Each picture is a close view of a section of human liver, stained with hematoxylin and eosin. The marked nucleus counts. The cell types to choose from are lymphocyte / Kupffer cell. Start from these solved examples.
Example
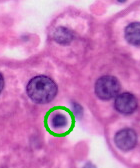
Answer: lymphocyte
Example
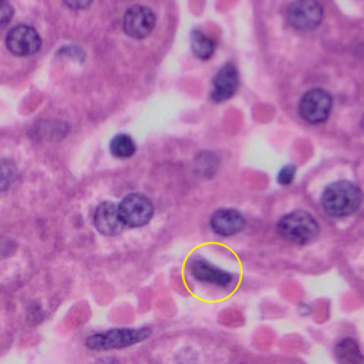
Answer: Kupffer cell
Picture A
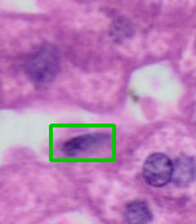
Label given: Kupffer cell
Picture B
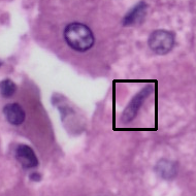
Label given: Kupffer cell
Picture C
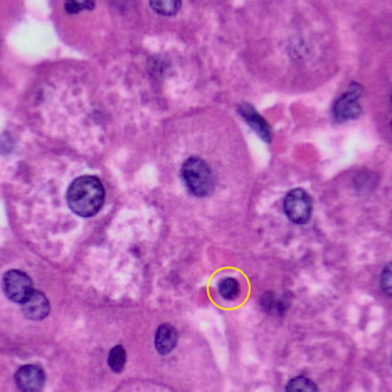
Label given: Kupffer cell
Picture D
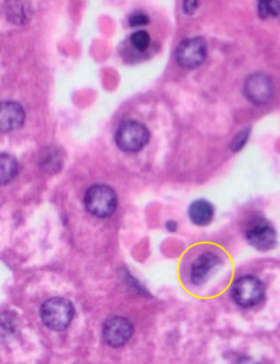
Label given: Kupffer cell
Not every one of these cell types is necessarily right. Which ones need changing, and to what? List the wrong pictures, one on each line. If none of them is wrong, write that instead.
C should be lymphocyte, not Kupffer cell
